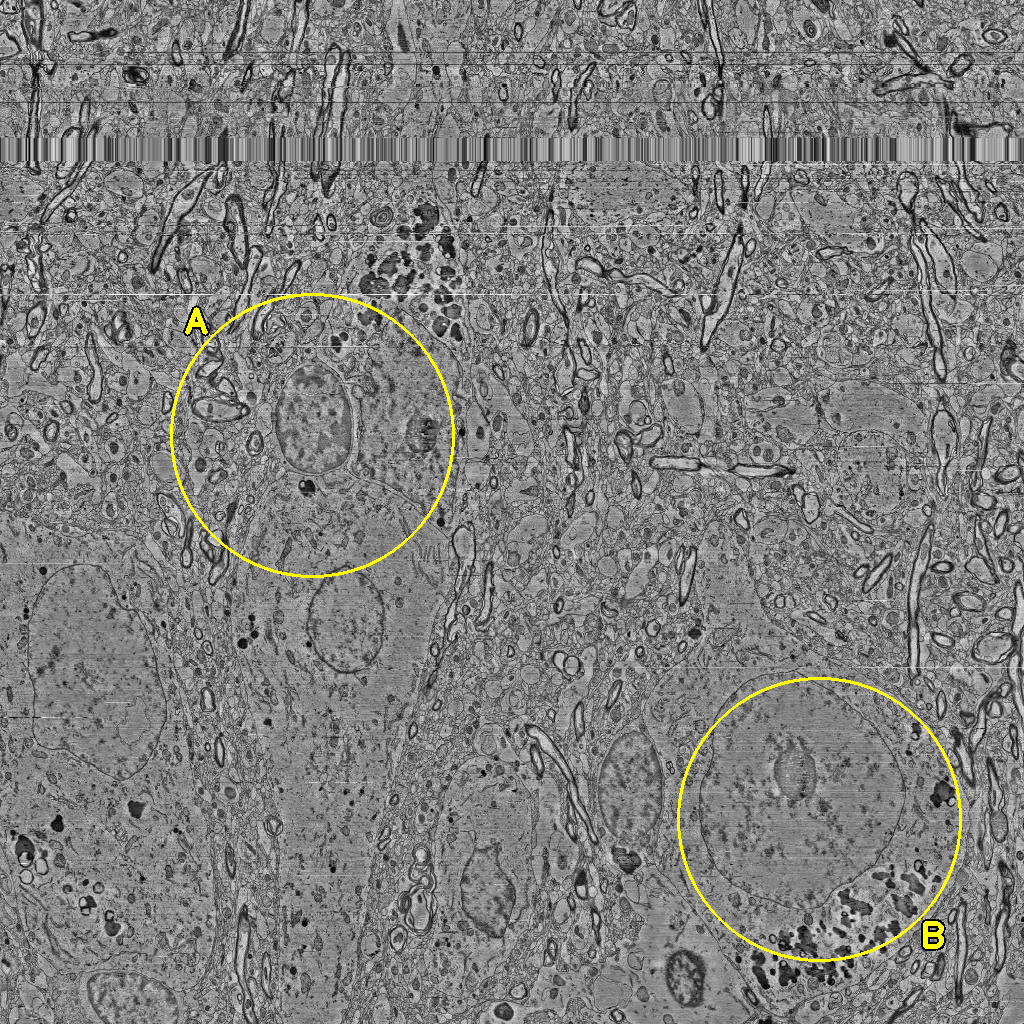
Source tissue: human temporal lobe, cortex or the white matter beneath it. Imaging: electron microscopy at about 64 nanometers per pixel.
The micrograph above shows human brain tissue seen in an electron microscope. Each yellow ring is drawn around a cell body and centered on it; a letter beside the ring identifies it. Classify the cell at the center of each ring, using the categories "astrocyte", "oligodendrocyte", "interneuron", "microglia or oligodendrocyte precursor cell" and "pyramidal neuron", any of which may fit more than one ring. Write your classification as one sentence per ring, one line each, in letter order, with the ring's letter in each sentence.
Ring A is centered on an oligodendrocyte.
Ring B is centered on a pyramidal neuron.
